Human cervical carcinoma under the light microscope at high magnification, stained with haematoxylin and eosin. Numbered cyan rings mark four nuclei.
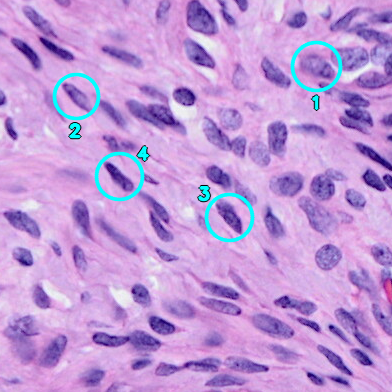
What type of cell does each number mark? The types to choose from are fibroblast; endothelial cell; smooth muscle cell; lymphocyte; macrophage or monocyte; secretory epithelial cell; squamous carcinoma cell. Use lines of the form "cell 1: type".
cell 1: endothelial cell
cell 2: fibroblast
cell 3: fibroblast
cell 4: fibroblast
